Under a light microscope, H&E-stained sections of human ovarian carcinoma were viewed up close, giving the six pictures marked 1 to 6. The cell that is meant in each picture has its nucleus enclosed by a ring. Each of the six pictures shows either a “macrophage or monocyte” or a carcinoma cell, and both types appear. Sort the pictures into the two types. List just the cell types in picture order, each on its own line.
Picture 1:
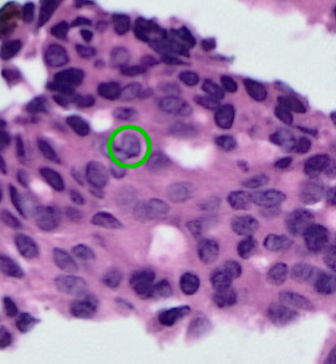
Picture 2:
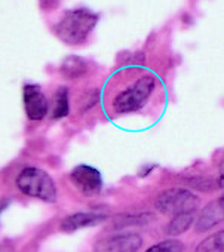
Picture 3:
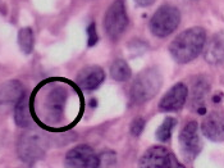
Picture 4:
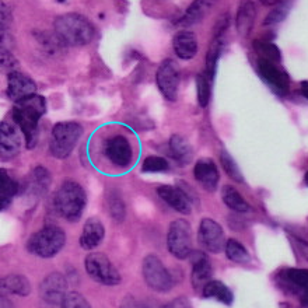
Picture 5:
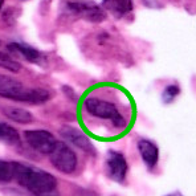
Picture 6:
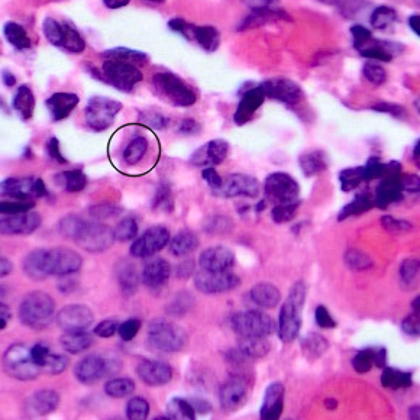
macrophage or monocyte
macrophage or monocyte
carcinoma cell
carcinoma cell
macrophage or monocyte
macrophage or monocyte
